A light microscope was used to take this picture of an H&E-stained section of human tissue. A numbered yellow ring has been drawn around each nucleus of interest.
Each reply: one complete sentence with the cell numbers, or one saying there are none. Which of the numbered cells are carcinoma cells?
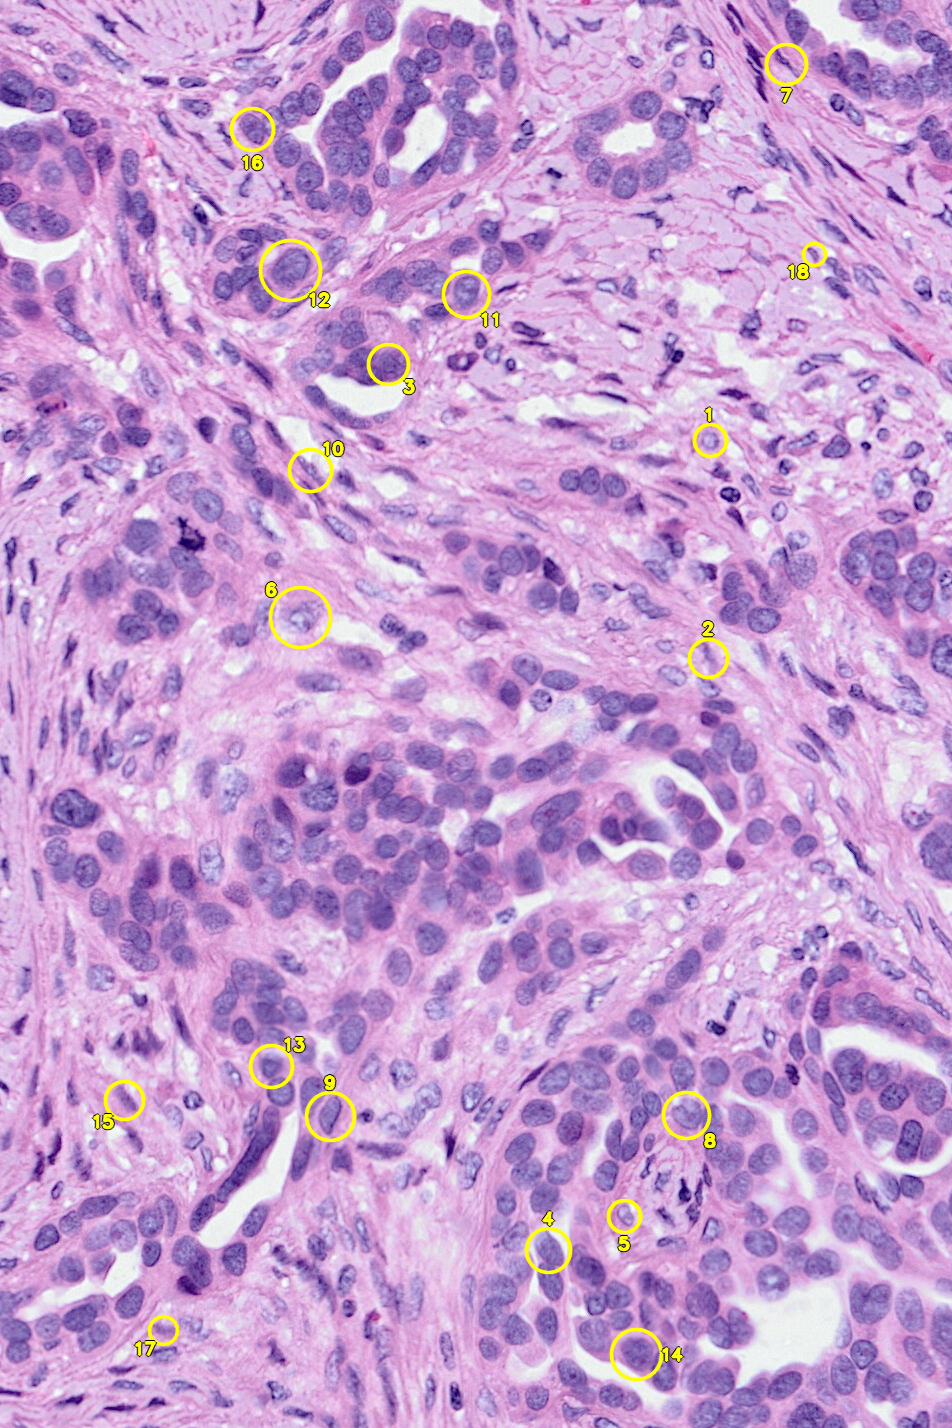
The cells numbered 3, 4, 8, 9, 11, 12, 13, 14 and 16 are, by type, carcinoma cells.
